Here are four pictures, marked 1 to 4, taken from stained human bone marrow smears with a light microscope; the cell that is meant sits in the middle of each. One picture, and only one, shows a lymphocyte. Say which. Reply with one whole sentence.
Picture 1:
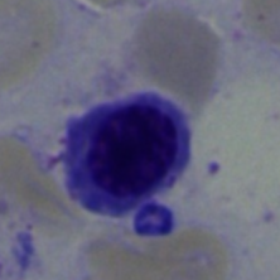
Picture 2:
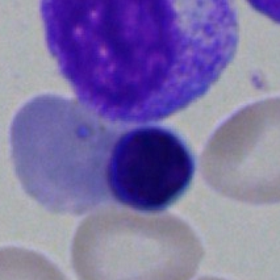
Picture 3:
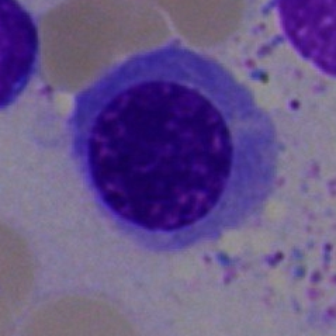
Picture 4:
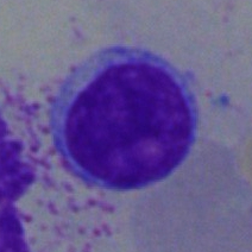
The picture with the lymphocyte is 4.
